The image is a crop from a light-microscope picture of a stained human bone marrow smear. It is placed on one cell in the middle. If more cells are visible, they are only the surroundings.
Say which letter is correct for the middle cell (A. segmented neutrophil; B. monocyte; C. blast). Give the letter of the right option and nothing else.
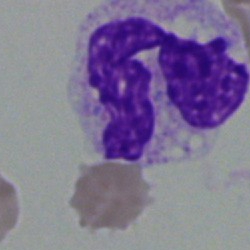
A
